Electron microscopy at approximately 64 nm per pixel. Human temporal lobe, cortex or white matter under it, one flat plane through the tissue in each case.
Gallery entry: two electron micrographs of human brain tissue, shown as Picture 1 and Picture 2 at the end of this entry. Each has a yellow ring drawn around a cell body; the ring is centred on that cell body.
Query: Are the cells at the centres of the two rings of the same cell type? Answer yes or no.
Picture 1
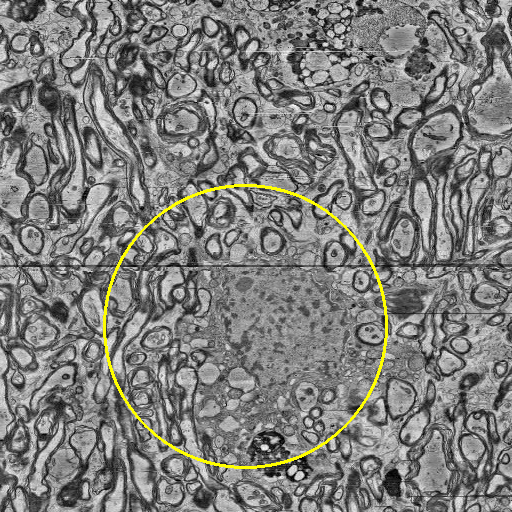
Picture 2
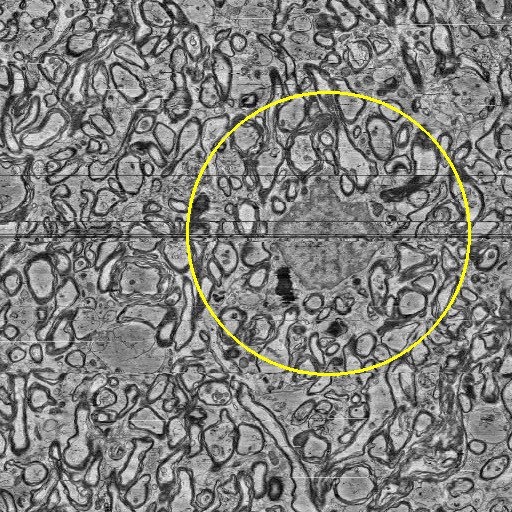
no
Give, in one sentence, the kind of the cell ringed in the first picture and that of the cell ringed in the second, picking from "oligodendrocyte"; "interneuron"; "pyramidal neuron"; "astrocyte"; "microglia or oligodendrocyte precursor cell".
For the first picture it is an astrocyte; for the second, an oligodendrocyte.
